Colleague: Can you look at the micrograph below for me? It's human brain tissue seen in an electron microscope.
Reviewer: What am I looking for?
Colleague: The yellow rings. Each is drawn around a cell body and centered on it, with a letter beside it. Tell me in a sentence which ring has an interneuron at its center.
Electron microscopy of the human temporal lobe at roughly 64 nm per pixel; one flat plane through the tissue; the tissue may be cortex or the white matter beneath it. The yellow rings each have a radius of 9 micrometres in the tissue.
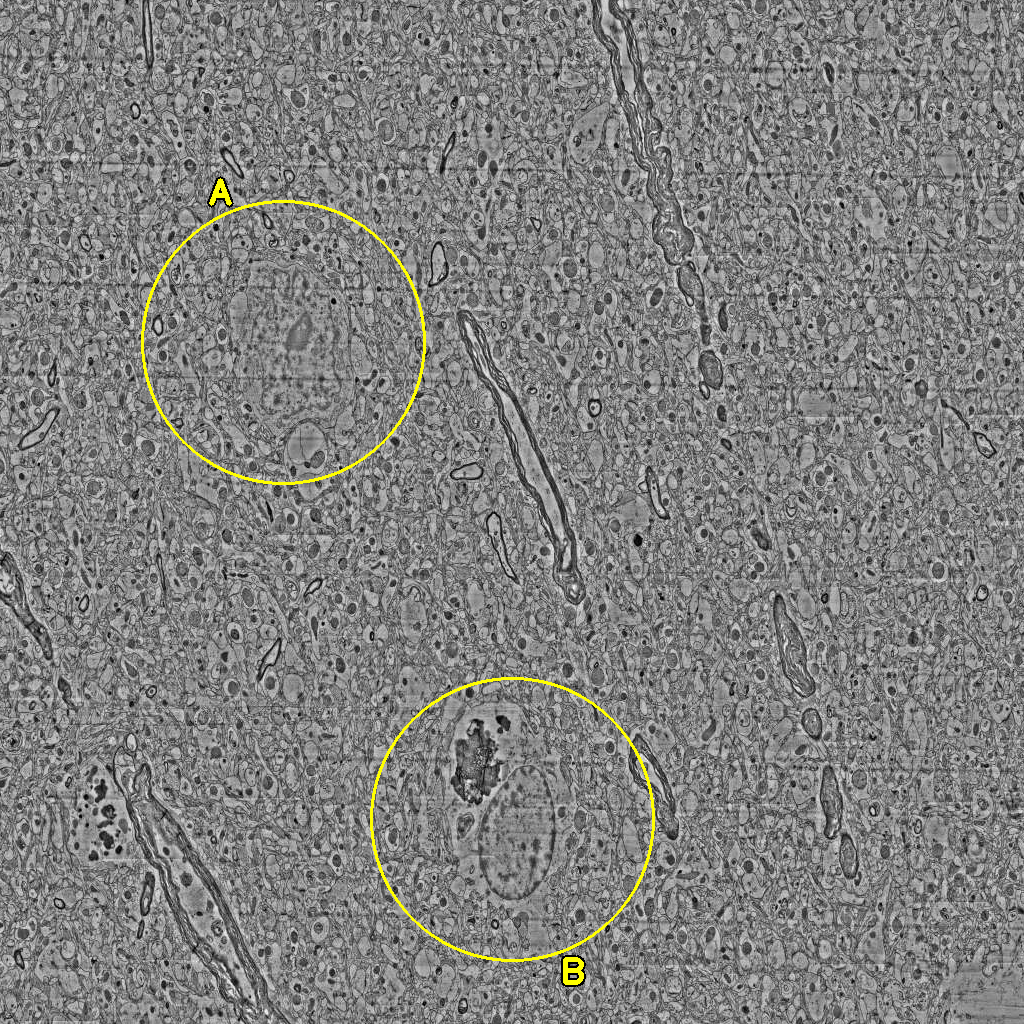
It's the cell in ring A.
